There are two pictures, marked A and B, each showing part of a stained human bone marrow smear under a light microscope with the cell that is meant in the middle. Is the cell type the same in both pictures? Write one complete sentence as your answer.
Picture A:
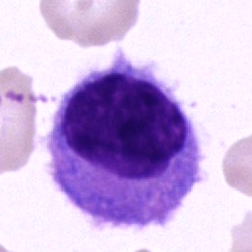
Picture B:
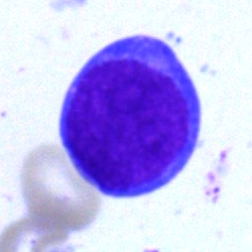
No, they differ: the cell is a hairy cell in picture A and a blast in picture B.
